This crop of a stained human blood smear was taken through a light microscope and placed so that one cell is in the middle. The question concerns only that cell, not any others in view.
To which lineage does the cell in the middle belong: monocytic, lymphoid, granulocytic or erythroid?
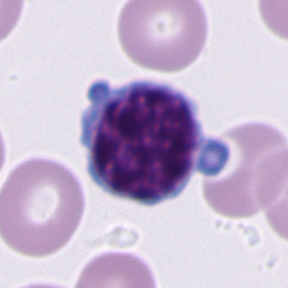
erythroid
